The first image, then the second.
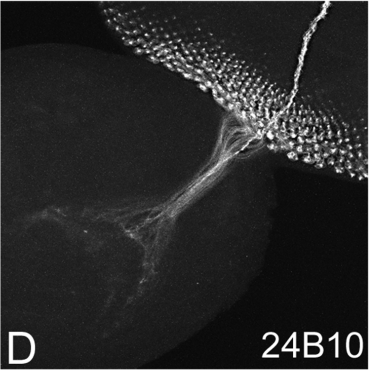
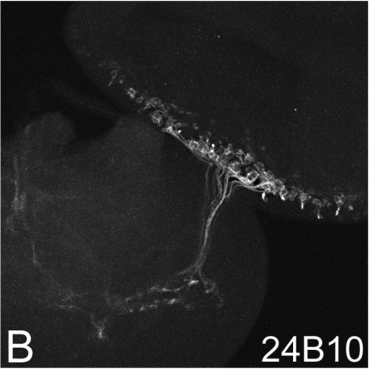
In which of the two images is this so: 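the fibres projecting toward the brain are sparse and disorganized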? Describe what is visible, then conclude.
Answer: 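First image: many fibres gather into a thick, orderly bundle leaving the retina. Second image: only a few thin fibres run toward the brain, ending in scattered patches. Second image: the stained clusters in the retina are fewer and irregular. That points to this answer: the second image.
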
